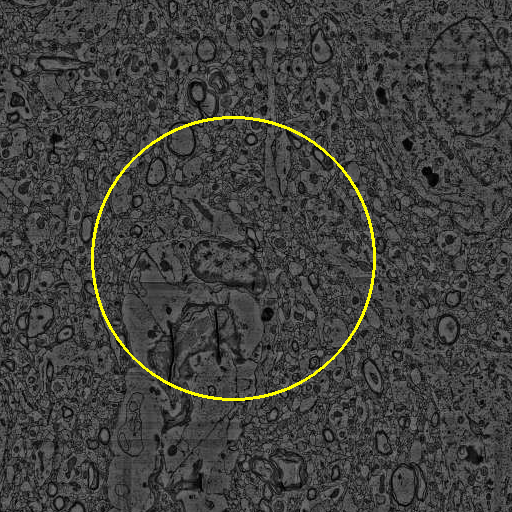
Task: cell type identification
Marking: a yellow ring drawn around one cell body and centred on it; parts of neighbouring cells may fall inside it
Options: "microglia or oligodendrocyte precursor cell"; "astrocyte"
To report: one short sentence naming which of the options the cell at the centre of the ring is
The cell at the centre of the ring is a microglial cell or oligodendrocyte precursor cell.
